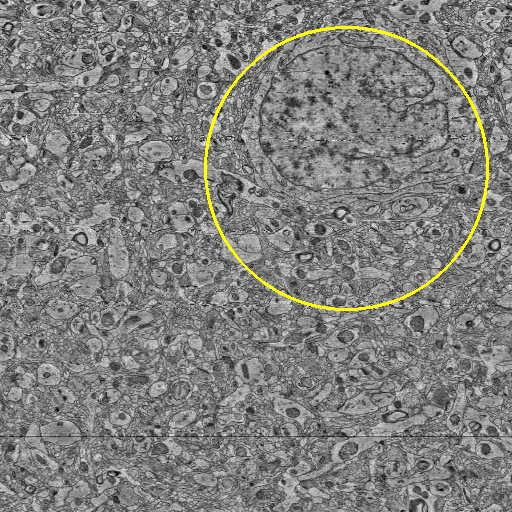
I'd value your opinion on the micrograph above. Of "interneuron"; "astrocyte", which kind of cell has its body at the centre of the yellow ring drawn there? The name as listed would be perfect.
interneuron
